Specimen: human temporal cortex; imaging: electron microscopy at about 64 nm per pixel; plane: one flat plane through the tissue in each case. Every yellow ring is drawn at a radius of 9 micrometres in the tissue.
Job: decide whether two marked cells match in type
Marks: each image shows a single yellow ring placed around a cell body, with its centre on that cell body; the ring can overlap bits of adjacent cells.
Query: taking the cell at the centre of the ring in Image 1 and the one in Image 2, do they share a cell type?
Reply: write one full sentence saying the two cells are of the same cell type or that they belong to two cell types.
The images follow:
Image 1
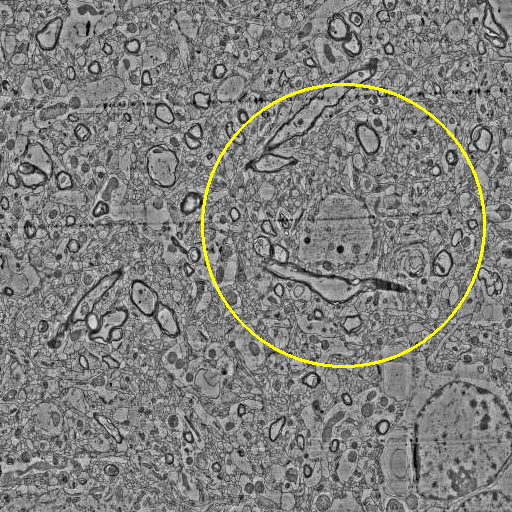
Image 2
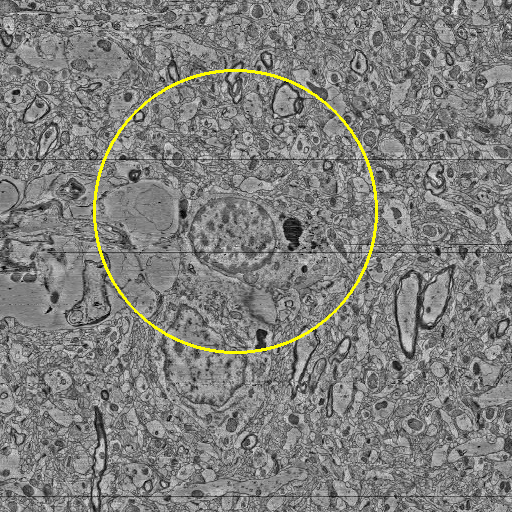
The cells at the ring centres in Image 1 and Image 2 belong to two cell types.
